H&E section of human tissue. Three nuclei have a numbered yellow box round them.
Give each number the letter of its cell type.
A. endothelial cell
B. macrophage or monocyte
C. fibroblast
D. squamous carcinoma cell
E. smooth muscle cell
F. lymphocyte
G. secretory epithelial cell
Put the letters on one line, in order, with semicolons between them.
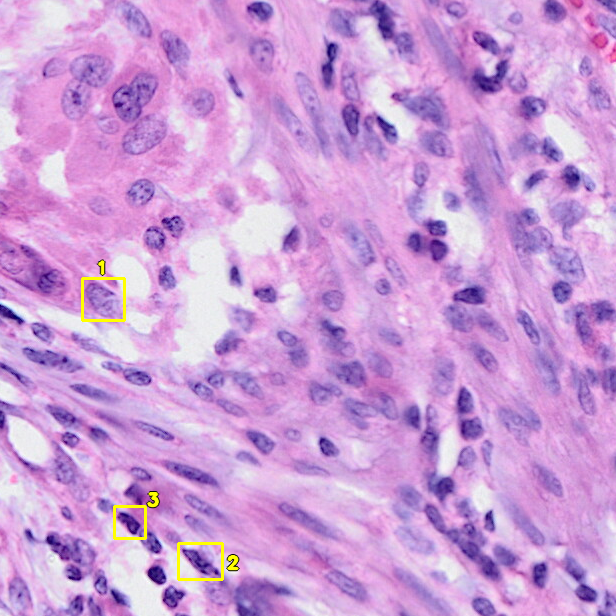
C; F; F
